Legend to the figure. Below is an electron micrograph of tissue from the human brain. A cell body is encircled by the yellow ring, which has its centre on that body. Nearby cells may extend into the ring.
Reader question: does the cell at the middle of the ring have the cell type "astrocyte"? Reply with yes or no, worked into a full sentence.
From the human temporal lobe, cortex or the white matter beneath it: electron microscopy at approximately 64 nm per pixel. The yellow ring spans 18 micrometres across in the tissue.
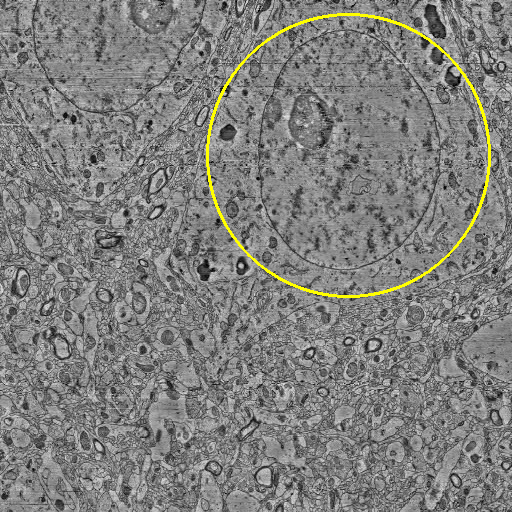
No, the cell sitting at the middle of the ring in the picture has another cell type.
